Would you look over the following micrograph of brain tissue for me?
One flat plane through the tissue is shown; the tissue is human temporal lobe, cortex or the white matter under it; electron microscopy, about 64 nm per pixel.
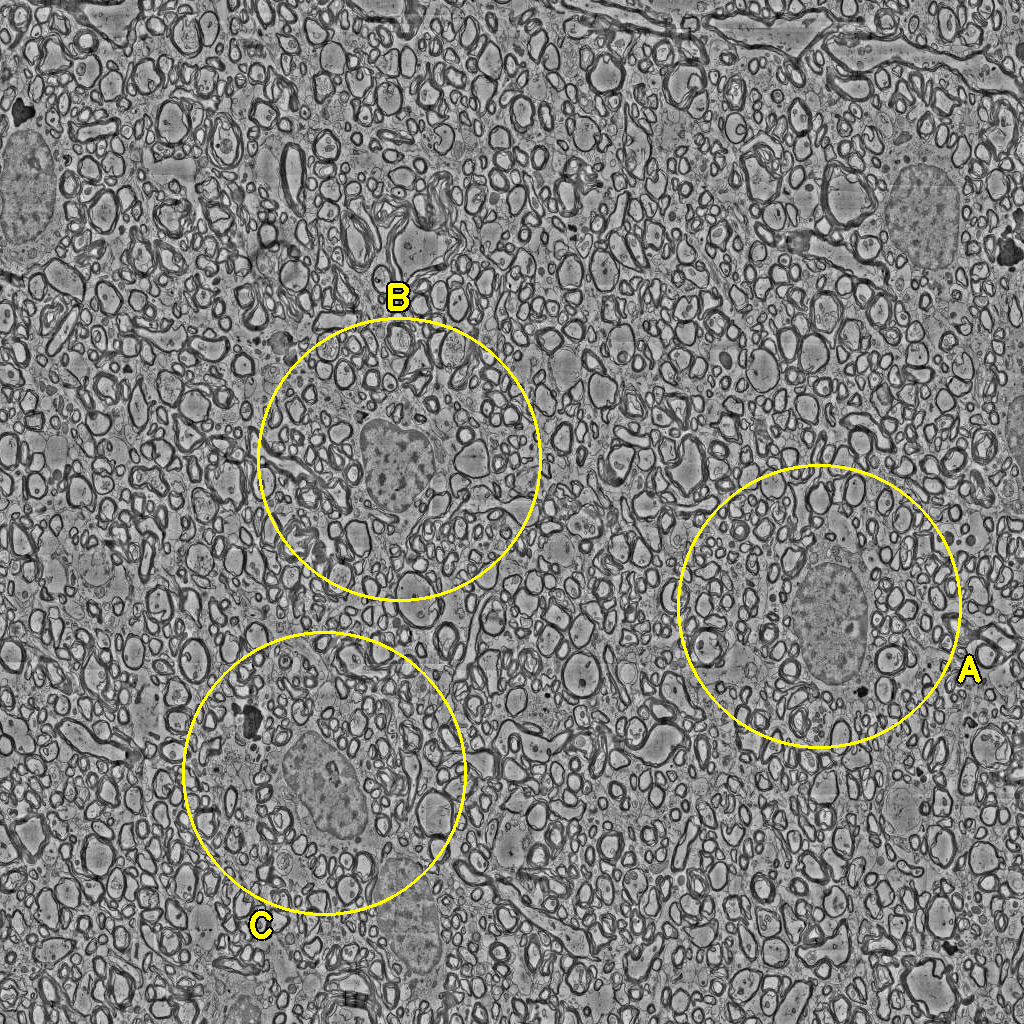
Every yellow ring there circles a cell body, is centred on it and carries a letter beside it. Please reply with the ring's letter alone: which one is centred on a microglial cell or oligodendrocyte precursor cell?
B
